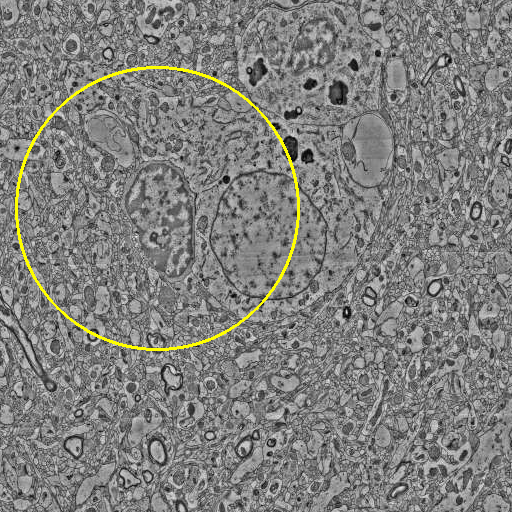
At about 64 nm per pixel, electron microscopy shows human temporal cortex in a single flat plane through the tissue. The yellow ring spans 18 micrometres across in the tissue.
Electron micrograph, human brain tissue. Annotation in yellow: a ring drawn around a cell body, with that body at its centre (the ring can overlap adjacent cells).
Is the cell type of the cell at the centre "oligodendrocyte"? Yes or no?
Yes, it is of that type.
